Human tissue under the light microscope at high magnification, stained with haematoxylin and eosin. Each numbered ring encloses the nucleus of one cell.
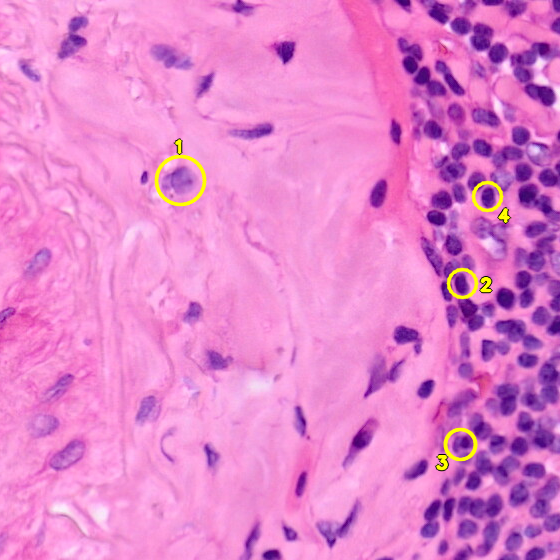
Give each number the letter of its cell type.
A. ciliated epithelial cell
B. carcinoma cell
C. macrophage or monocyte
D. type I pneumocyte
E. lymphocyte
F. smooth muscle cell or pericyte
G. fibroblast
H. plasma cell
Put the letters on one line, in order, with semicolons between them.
G; E; E; E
